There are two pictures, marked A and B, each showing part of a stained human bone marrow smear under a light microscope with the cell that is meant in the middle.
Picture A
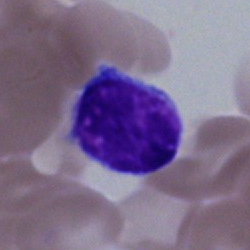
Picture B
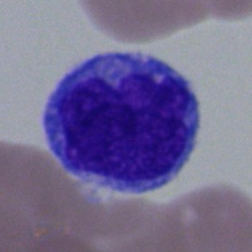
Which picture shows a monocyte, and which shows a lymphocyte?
A: lymphocyte
B: monocyte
